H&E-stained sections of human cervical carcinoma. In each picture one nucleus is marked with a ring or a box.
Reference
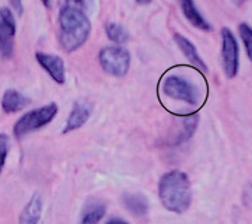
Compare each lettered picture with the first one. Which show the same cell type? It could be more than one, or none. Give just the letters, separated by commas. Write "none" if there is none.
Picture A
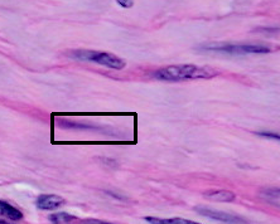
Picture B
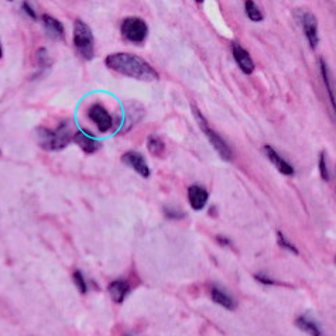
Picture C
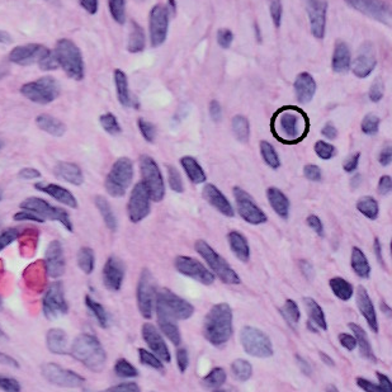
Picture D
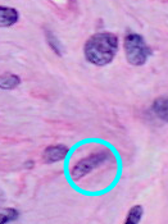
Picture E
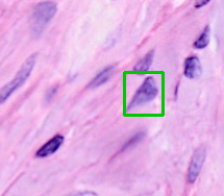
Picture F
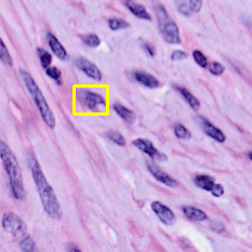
C, E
